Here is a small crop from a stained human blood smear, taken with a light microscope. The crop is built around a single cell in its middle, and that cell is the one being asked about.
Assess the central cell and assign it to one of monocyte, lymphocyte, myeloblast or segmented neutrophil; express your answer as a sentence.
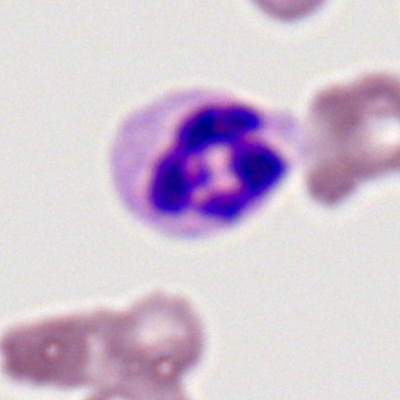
The centered cell in this crop is a segmented neutrophil.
